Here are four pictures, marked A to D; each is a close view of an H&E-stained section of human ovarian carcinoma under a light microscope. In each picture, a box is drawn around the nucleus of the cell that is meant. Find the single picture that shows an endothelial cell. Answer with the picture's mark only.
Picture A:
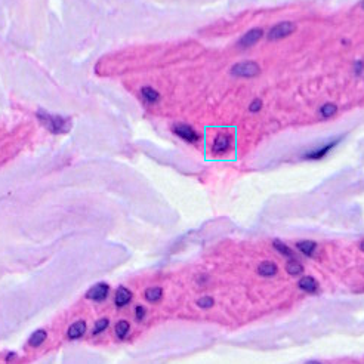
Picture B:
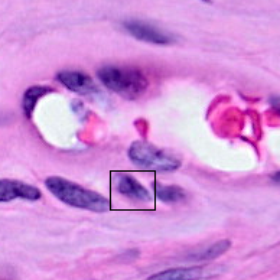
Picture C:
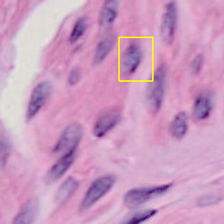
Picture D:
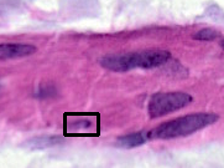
B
